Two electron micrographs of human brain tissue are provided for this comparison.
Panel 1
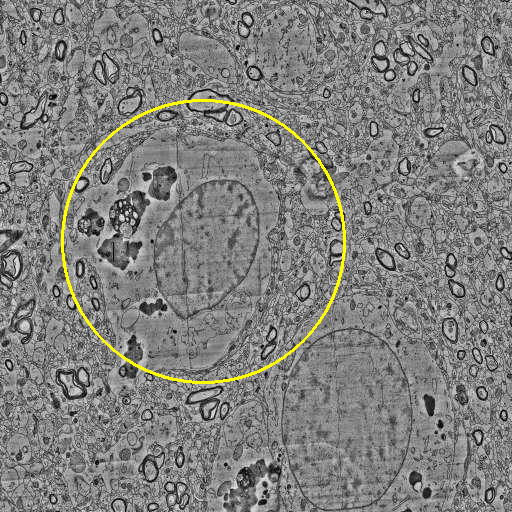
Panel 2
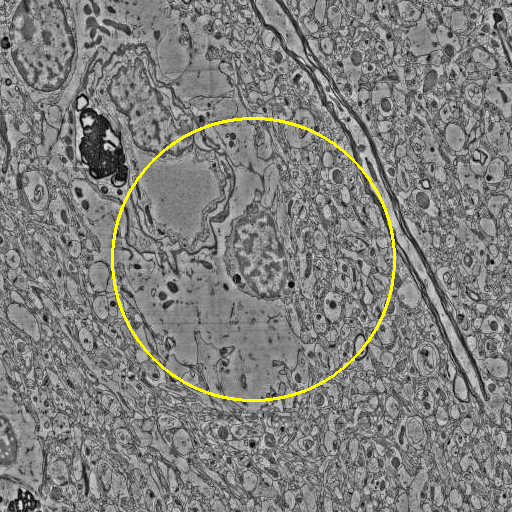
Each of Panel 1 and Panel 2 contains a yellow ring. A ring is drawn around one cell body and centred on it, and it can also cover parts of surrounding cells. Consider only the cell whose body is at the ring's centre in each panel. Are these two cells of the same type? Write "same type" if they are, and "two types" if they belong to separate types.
two types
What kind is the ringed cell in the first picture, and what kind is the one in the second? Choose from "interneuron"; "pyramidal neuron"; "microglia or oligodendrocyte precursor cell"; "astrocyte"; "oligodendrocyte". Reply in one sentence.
The first cell is an astrocyte; the second is an oligodendrocyte.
